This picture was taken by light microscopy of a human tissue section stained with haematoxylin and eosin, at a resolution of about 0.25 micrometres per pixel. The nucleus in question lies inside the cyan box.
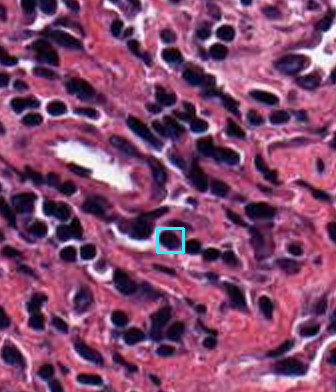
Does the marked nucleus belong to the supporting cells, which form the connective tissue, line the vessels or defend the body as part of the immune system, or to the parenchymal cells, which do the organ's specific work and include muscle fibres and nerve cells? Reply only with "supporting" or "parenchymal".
supporting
